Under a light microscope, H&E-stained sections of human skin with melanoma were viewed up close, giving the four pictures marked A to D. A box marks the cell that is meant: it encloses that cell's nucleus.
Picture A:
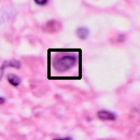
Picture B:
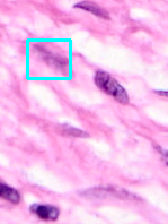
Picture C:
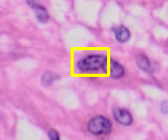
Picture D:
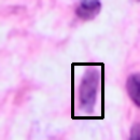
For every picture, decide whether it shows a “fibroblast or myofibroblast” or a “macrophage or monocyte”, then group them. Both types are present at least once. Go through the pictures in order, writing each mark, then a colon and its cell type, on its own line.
A: macrophage or monocyte
B: fibroblast or myofibroblast
C: macrophage or monocyte
D: macrophage or monocyte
